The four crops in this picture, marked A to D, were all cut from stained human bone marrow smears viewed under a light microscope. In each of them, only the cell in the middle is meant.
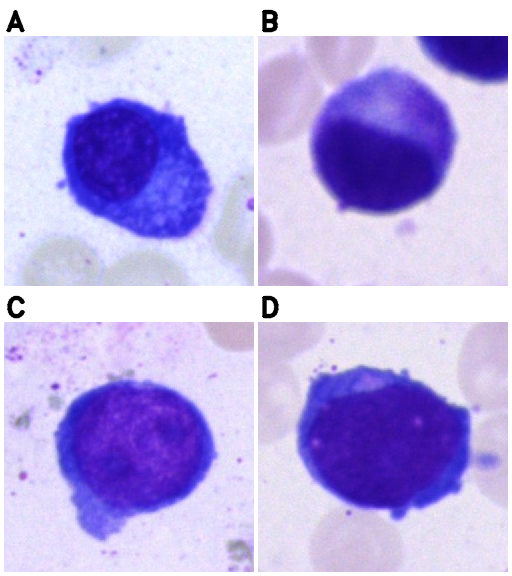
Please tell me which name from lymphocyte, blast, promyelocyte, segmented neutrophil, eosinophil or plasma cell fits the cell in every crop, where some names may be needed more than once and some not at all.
A: plasma cell
B: promyelocyte
C: blast
D: blast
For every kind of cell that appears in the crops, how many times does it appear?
blast: 2
plasma cell: 1
promyelocyte: 1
